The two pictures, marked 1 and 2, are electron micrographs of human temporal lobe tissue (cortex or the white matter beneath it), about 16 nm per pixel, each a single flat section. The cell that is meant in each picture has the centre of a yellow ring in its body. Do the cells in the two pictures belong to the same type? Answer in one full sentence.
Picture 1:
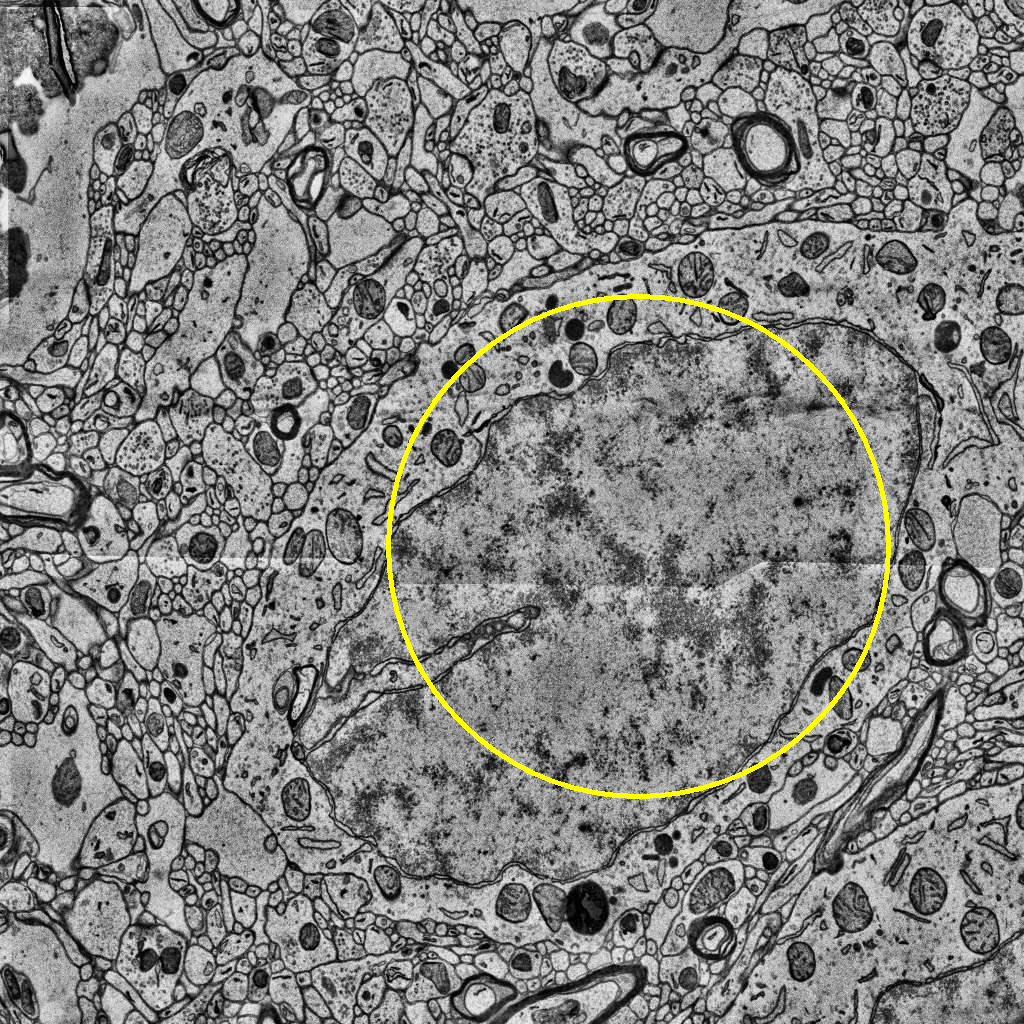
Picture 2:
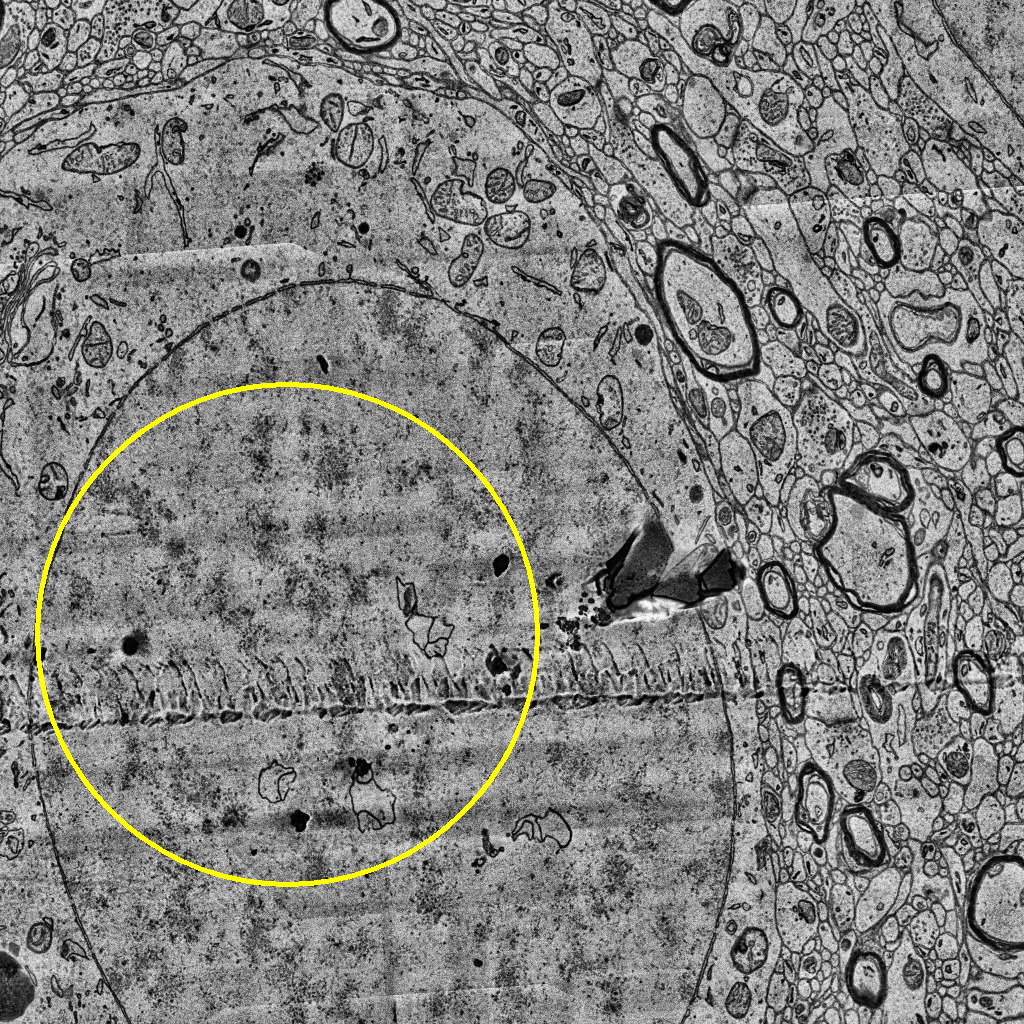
No, picture 1 shows an interneuron and picture 2 shows a pyramidal neuron.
